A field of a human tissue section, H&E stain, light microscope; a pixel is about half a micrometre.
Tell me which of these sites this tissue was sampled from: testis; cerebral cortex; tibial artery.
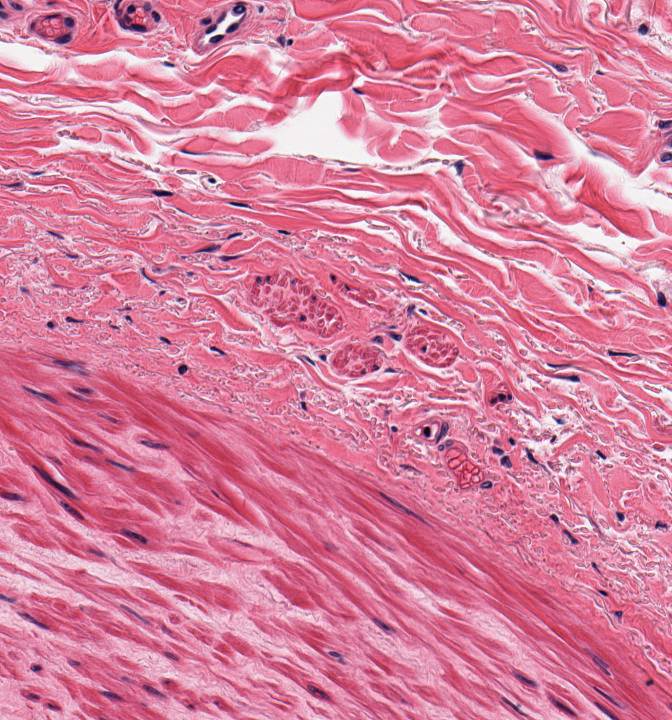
tibial artery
